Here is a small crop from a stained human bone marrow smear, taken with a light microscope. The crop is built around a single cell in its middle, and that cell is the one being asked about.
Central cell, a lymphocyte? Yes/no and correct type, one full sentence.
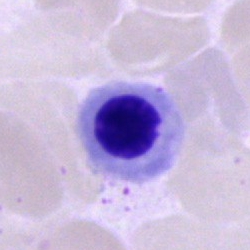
No, the cell located centrally is an erythroblast rather than a lymphocyte.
